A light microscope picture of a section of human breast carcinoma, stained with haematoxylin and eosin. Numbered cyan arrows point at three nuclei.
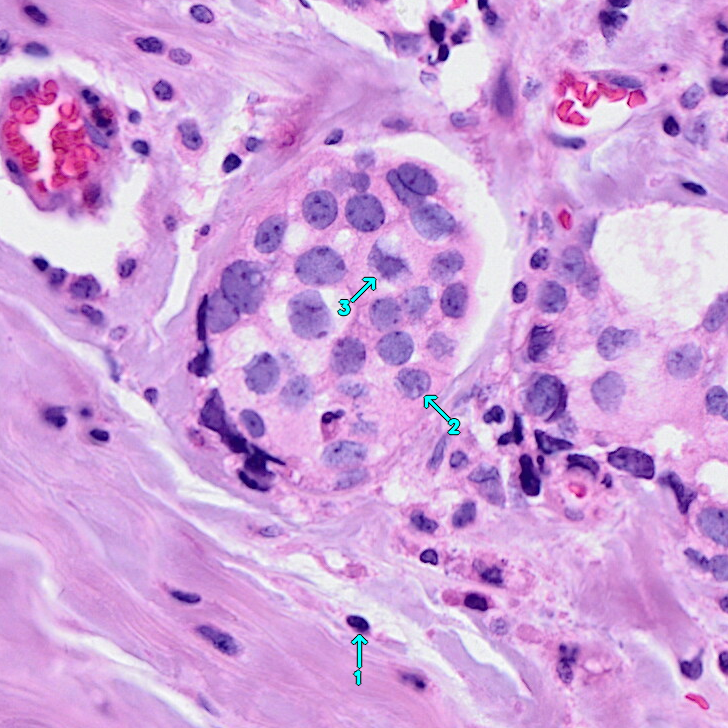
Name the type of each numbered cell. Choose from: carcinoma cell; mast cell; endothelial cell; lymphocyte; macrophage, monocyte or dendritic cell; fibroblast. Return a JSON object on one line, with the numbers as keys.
{"1": "lymphocyte", "2": "carcinoma cell", "3": "carcinoma cell"}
